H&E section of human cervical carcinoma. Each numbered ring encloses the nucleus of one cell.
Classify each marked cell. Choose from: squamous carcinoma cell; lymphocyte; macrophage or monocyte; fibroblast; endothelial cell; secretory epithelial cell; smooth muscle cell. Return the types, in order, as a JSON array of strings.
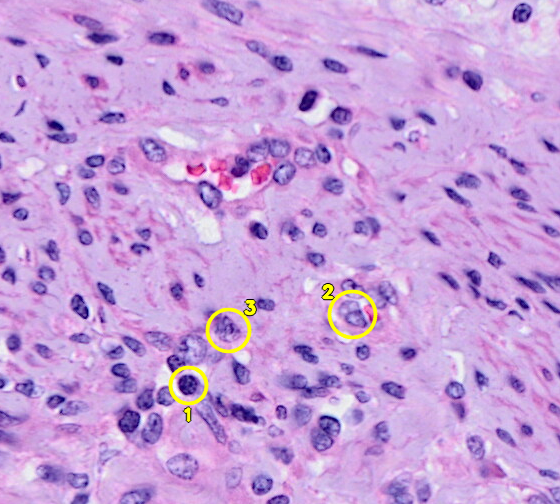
["lymphocyte", "endothelial cell", "endothelial cell"]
